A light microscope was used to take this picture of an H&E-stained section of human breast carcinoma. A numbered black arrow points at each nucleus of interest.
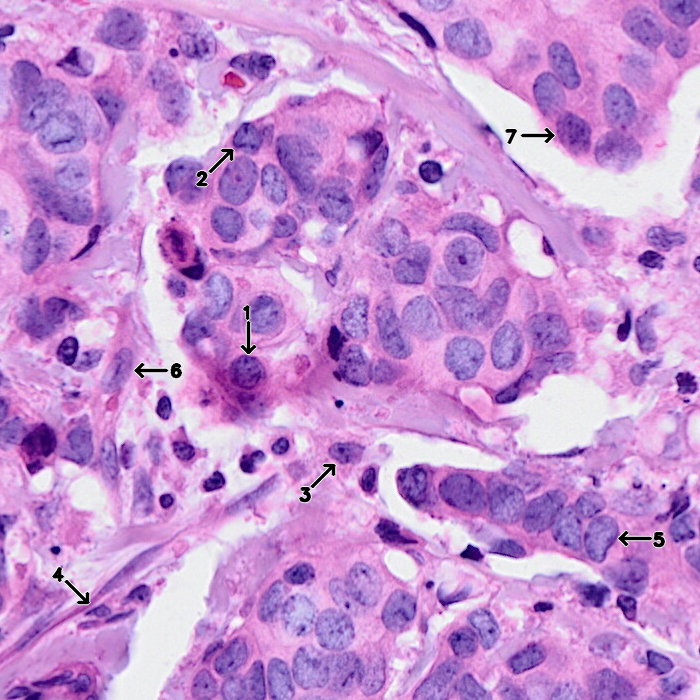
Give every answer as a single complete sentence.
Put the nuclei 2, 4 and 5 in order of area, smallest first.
Smallest first, the nuclei run 4, 2, 5.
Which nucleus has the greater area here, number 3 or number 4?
Number 3 is larger; its area is about 3 times that of number 4.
